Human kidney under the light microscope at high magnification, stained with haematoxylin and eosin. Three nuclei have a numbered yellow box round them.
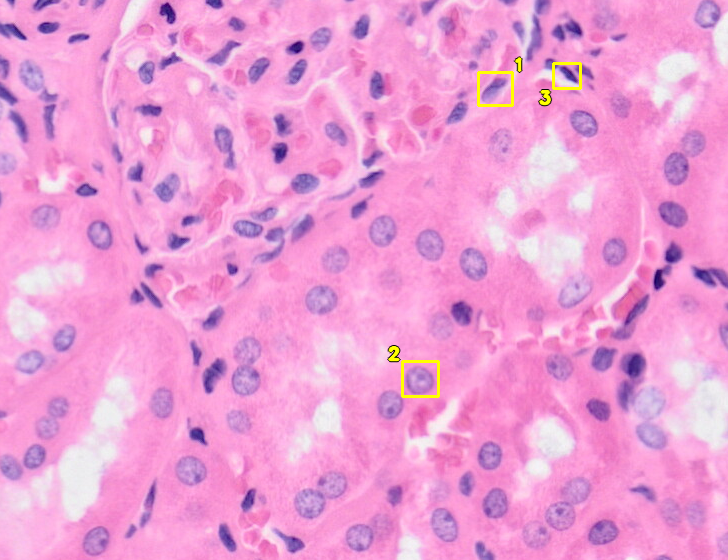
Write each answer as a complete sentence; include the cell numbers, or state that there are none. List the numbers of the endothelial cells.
The cells numbered 1 and 3 are, by type, endothelial cells.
